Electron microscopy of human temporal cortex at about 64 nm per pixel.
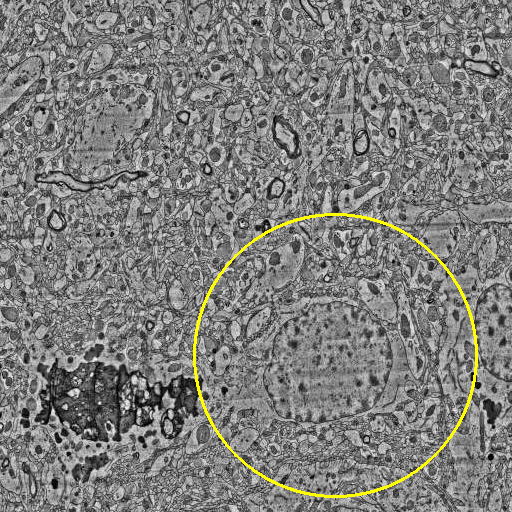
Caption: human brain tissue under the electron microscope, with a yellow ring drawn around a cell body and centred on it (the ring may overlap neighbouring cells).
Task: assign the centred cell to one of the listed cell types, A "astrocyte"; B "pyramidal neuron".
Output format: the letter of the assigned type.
A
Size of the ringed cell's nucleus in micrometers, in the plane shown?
In this plane, about 9 micrometres in length and 8 in width.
